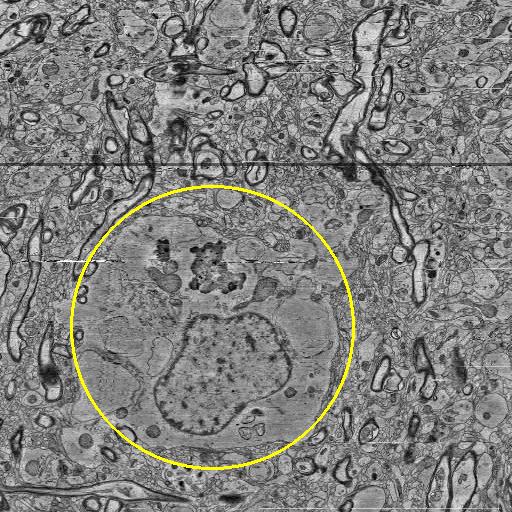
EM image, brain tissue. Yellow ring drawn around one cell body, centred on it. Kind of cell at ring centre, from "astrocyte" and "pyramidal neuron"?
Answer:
astrocyte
